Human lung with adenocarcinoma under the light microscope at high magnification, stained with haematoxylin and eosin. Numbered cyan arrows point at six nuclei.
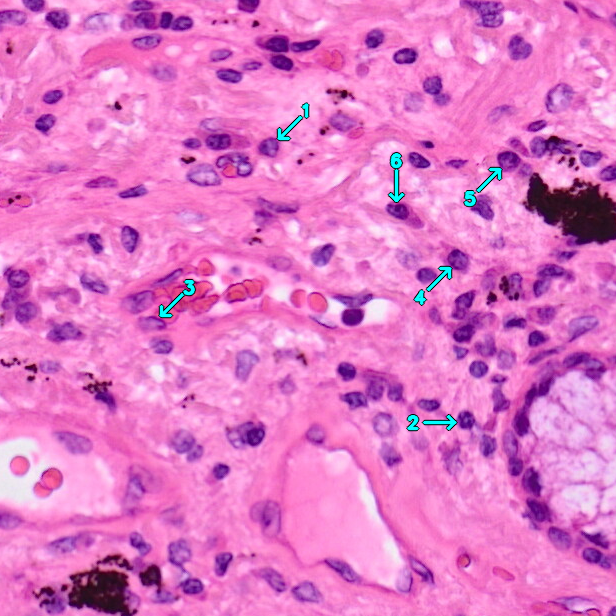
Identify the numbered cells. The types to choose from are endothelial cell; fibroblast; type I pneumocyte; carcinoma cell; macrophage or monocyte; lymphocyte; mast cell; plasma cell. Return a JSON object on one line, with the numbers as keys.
{"1": "mast cell", "2": "lymphocyte", "3": "endothelial cell", "4": "plasma cell", "5": "plasma cell", "6": "plasma cell"}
